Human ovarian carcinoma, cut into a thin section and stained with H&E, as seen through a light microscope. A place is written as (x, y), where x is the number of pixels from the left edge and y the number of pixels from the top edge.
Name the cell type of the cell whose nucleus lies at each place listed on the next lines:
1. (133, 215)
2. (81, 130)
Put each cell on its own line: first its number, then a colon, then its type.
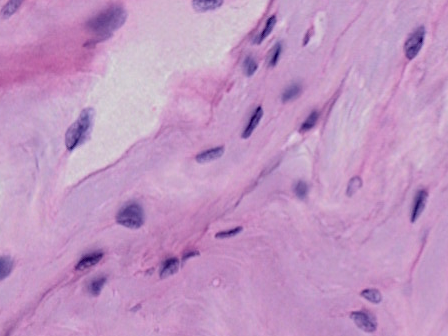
1: fibroblast
2: endothelial cell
